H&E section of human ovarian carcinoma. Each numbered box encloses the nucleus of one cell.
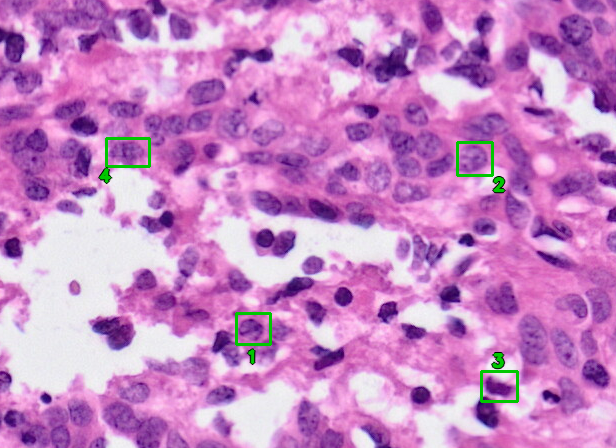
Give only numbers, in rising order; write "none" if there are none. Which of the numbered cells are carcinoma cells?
2, 3, 4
